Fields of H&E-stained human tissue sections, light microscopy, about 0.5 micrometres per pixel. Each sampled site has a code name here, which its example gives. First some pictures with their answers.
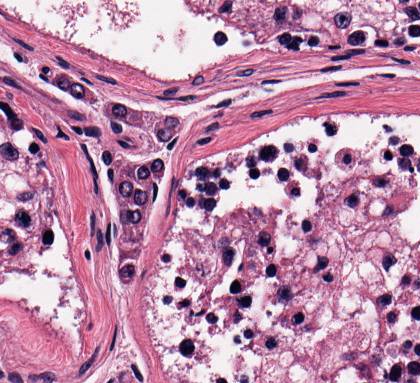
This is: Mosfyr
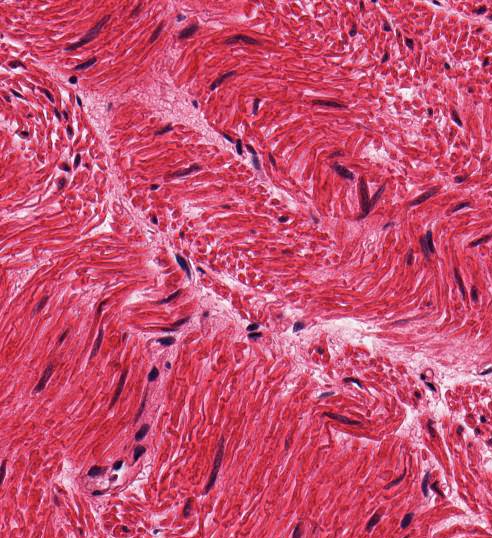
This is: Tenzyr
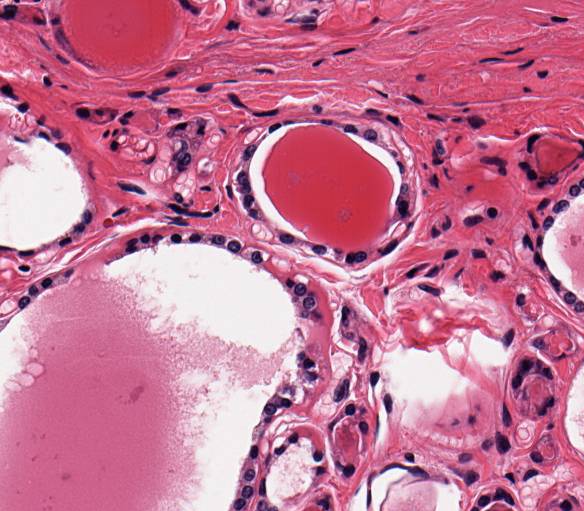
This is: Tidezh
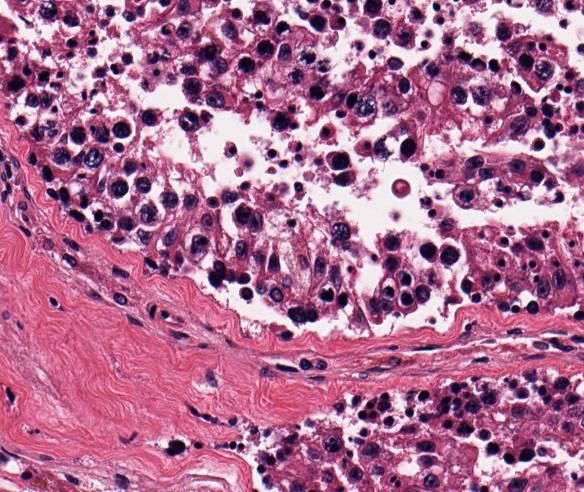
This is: Mosfyr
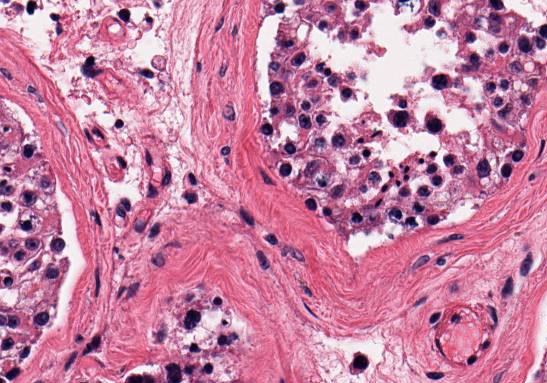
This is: Mosfyr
